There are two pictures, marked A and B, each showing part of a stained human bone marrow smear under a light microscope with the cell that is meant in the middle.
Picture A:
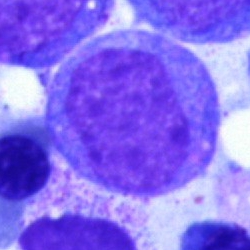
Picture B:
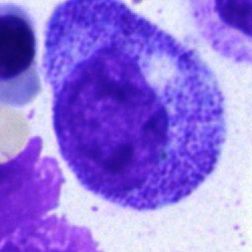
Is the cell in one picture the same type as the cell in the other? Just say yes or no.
no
